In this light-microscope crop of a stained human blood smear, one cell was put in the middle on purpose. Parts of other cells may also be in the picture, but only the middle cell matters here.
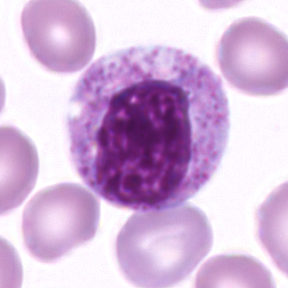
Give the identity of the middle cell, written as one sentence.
The crop's centre is taken up by a metamyelocyte.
